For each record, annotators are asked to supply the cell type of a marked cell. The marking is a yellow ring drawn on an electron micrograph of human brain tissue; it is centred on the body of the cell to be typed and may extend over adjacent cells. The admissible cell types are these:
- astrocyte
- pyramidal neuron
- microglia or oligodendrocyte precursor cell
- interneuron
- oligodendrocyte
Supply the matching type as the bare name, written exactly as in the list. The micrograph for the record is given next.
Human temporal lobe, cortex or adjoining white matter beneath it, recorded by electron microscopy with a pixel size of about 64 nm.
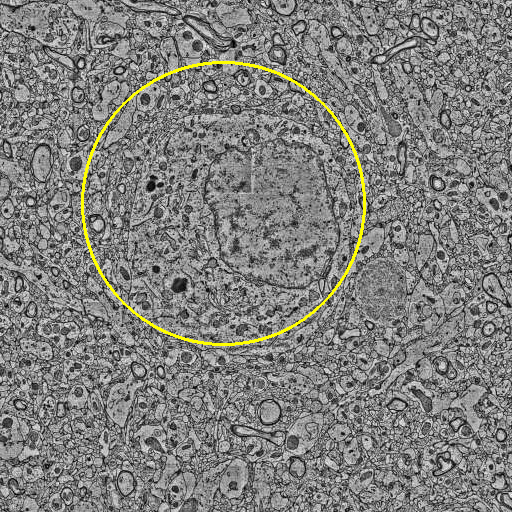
interneuron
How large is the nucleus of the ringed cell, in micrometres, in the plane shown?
Roughly 10 micrometres by 8 micrometres, in this plane.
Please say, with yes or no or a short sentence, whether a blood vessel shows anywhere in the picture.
No, no vessel appears in the picture.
